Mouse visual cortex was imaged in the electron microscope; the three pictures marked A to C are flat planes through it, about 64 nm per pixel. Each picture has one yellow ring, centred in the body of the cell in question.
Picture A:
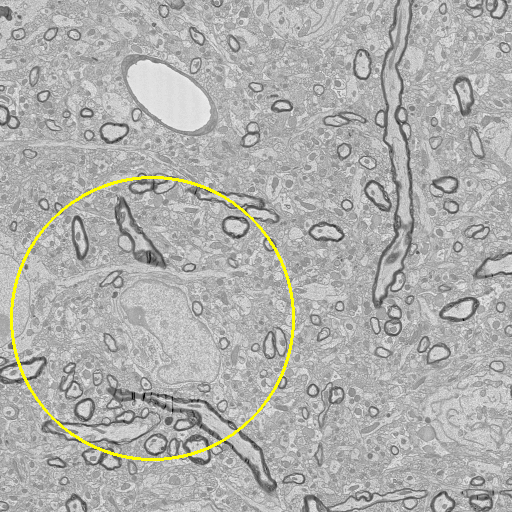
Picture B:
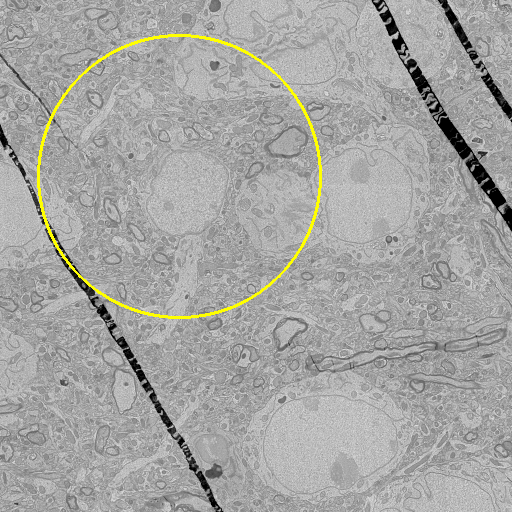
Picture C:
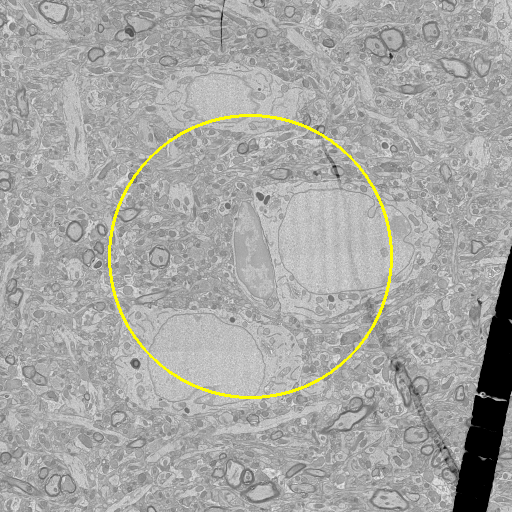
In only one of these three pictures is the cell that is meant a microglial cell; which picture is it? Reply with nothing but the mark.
C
